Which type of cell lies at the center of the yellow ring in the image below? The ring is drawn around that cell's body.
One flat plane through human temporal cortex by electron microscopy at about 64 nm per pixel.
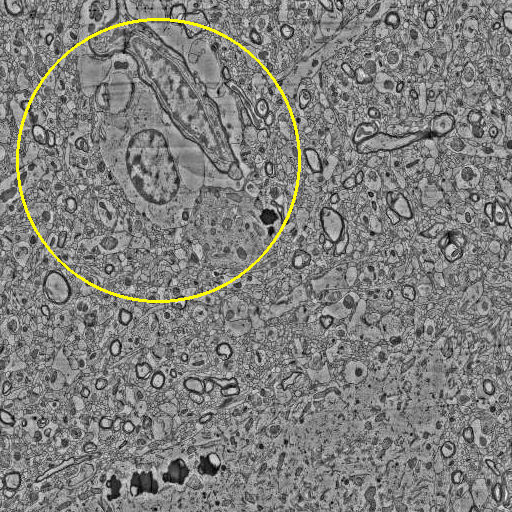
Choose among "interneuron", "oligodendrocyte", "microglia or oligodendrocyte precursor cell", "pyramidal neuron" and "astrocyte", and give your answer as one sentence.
The cell body at the center belongs to a microglial cell or oligodendrocyte precursor cell.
